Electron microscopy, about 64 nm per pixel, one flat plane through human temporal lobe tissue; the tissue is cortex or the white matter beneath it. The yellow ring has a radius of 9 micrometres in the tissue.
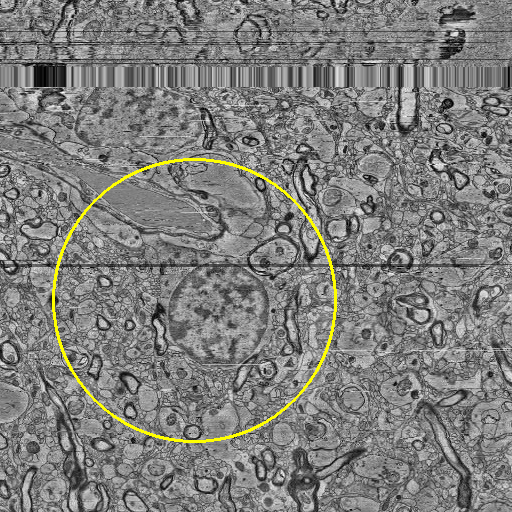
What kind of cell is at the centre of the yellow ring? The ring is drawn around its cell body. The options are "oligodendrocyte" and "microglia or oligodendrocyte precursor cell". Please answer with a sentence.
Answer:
The yellow ring marks the cell body of an oligodendrocyte.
